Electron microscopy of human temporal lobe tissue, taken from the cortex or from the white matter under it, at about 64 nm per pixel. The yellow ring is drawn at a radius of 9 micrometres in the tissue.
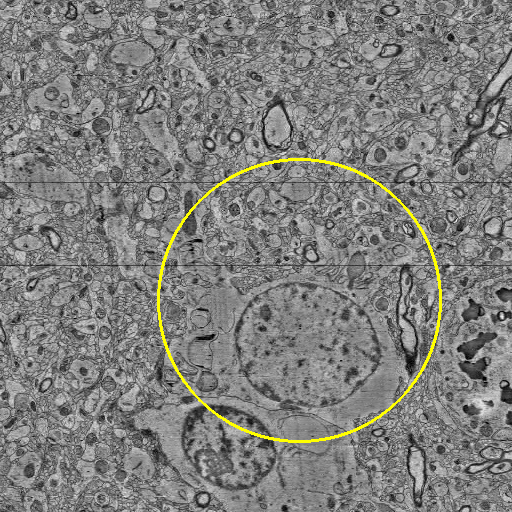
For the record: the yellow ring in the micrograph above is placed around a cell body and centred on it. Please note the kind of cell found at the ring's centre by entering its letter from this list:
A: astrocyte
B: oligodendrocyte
A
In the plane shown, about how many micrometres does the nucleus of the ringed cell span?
Roughly 9 micrometers across in this plane.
